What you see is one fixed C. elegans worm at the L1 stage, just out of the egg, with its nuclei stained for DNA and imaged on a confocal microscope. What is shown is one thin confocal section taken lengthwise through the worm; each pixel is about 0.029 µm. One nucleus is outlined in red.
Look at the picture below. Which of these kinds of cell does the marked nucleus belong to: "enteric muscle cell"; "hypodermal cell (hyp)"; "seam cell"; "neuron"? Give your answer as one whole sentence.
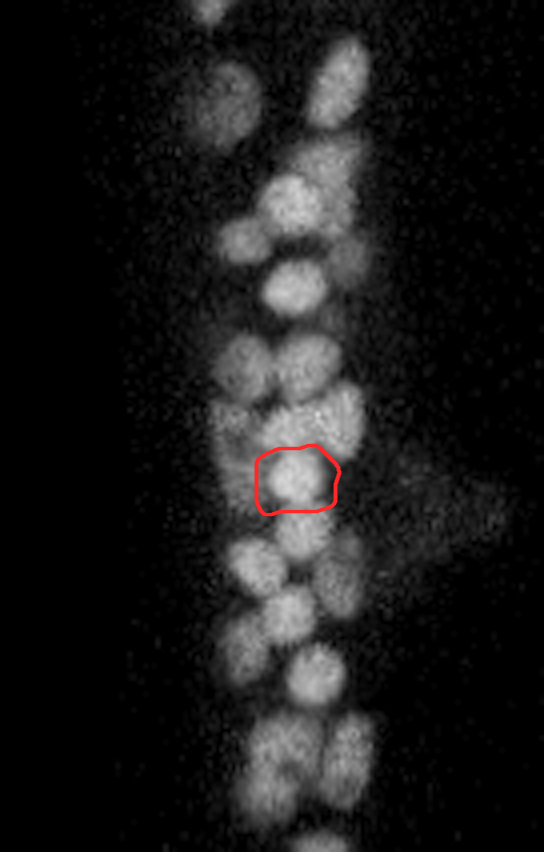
The marked cell is a neuron.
